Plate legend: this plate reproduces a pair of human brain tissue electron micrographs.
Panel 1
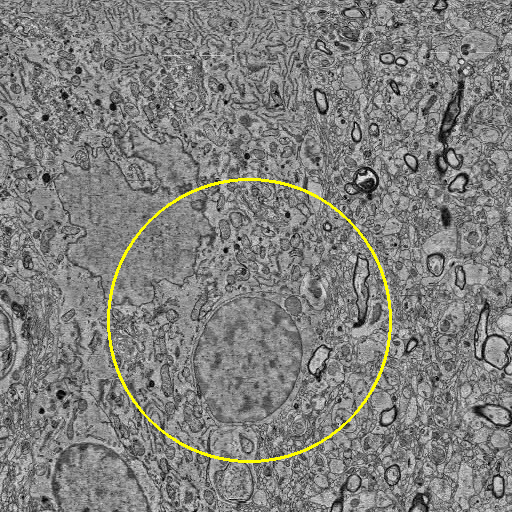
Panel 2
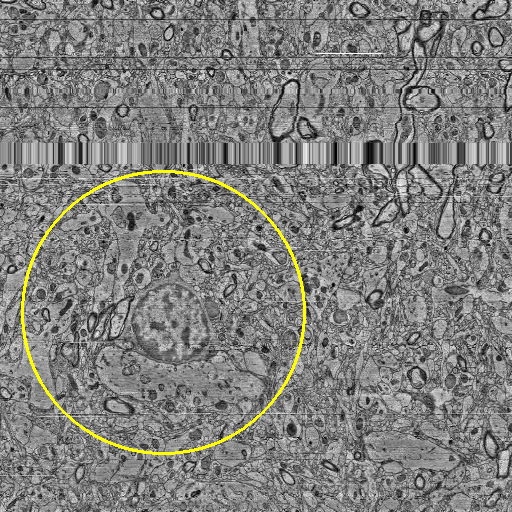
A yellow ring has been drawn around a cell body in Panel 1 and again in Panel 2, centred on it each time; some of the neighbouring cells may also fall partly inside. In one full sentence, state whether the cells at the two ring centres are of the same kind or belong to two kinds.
The ring-centred cells of Panel 1 and Panel 2 are of the same kind.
